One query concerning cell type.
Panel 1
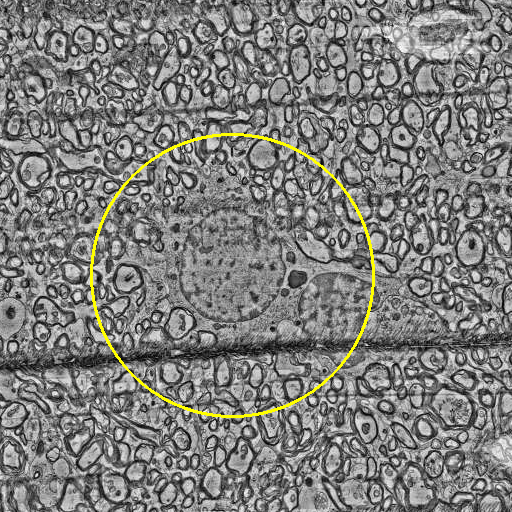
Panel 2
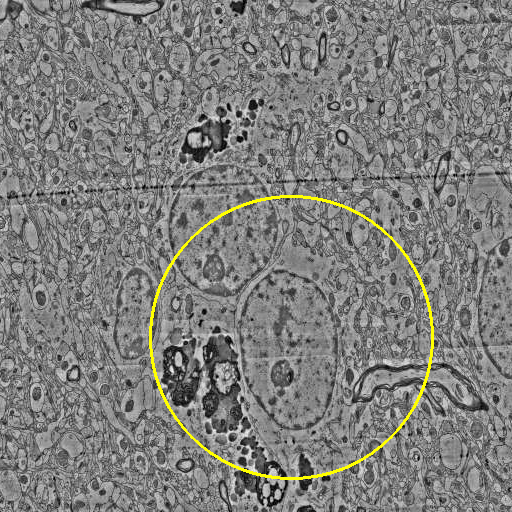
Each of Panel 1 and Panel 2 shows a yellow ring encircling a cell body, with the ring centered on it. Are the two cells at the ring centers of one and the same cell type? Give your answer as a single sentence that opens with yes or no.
No, the cell centered in Panel 1 and the one in Panel 2 are of two types.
